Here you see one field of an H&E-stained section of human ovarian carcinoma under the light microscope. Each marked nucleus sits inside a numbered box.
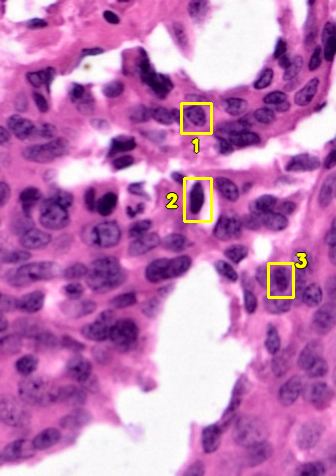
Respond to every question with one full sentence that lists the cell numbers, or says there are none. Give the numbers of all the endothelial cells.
None of the cells labelled with numbers belong to the endothelial cells.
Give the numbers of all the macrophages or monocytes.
Where the numbered cells are concerned, only number 1 is a macrophage or monocyte.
